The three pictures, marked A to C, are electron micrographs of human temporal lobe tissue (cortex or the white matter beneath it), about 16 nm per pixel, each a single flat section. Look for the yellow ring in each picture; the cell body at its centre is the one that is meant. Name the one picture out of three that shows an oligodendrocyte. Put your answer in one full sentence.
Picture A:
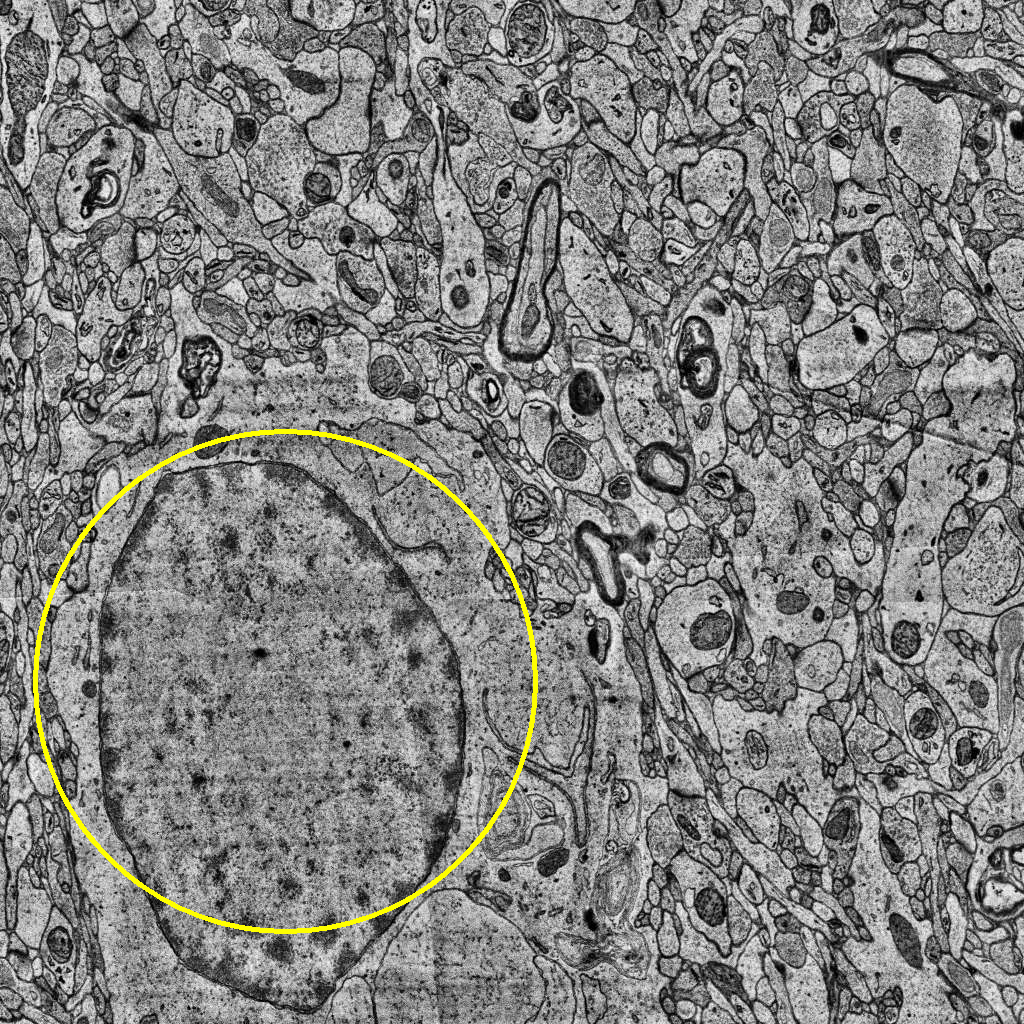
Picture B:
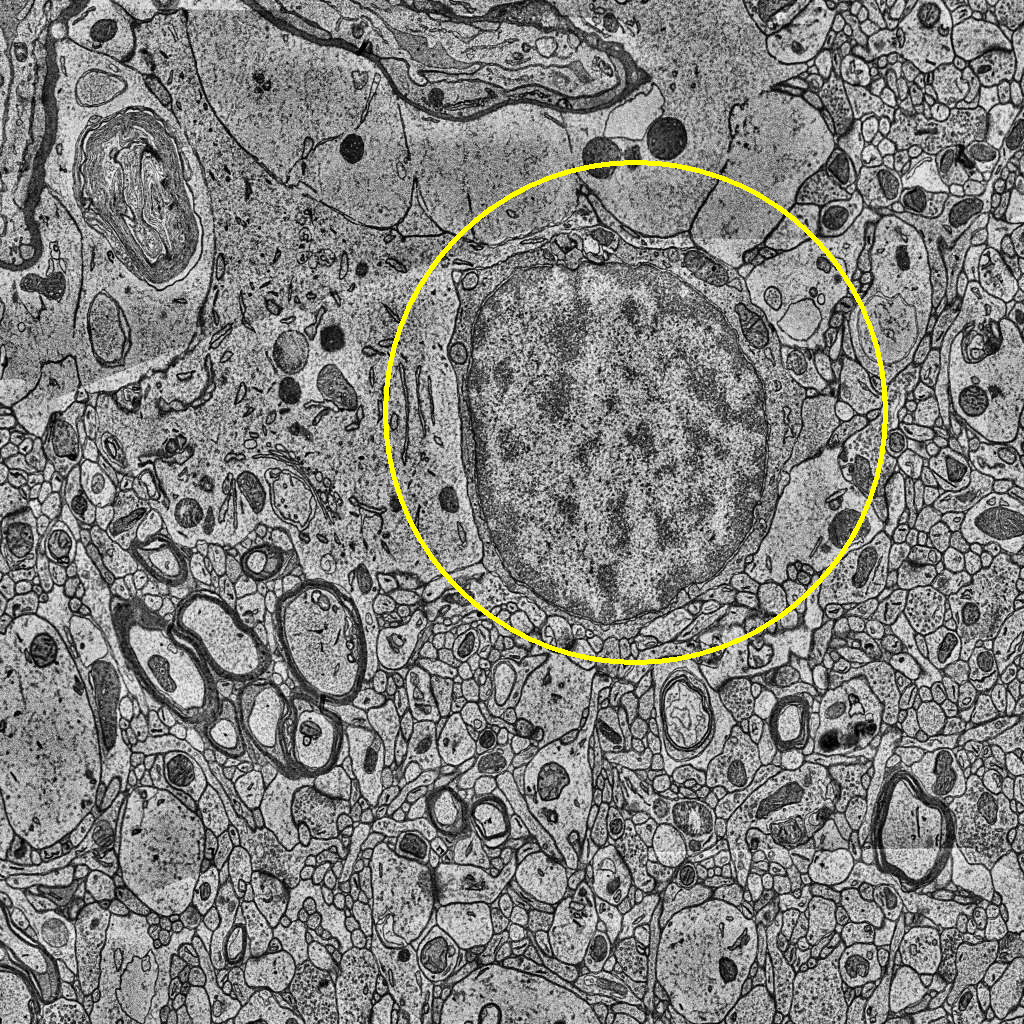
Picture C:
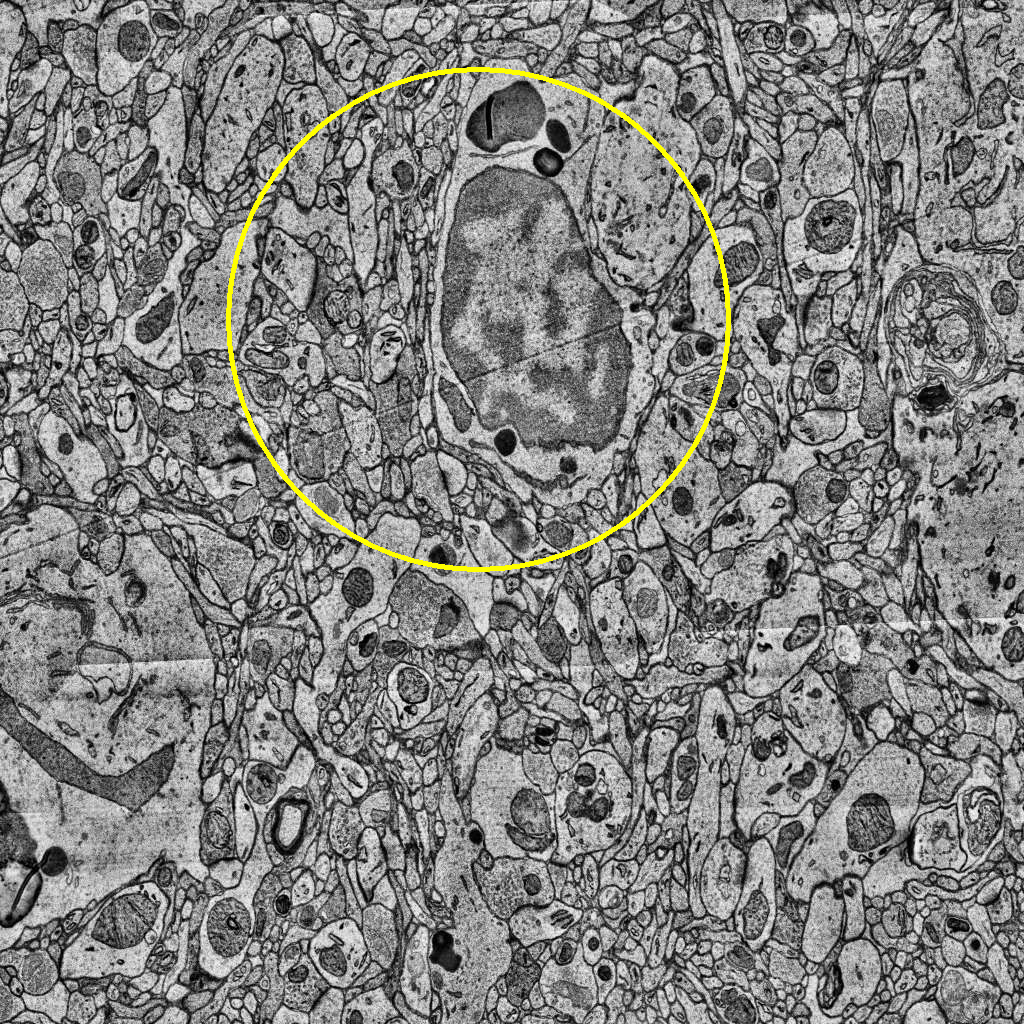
Picture B is the one that shows the oligodendrocyte.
